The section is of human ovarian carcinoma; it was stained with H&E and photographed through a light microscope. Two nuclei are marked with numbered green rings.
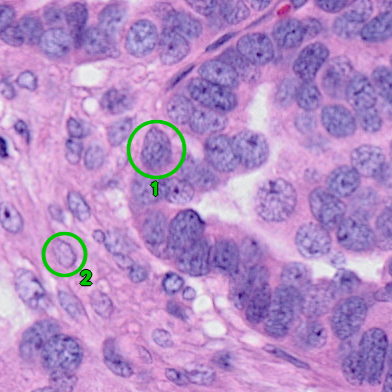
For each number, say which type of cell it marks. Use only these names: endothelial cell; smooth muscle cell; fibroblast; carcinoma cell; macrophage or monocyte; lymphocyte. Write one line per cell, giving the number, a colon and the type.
1: carcinoma cell
2: fibroblast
